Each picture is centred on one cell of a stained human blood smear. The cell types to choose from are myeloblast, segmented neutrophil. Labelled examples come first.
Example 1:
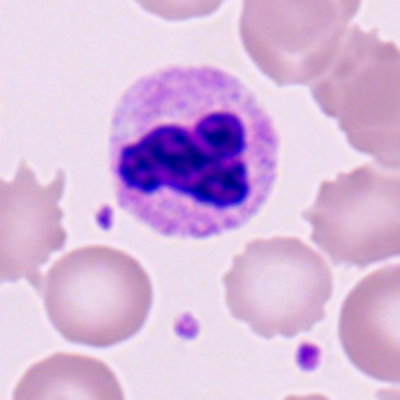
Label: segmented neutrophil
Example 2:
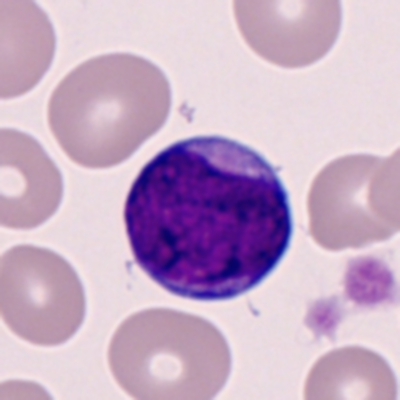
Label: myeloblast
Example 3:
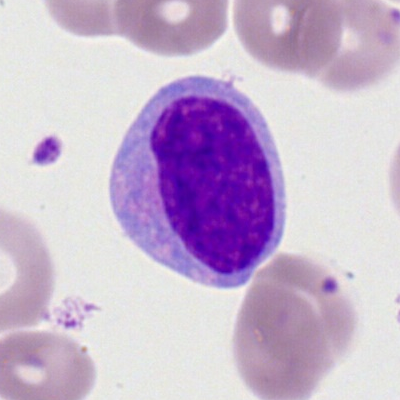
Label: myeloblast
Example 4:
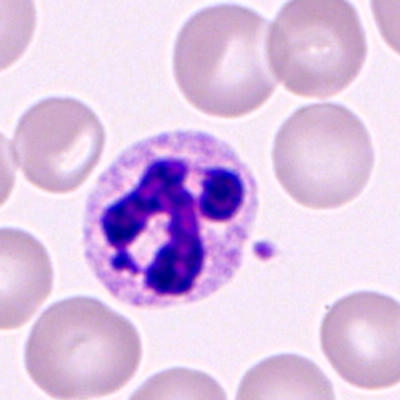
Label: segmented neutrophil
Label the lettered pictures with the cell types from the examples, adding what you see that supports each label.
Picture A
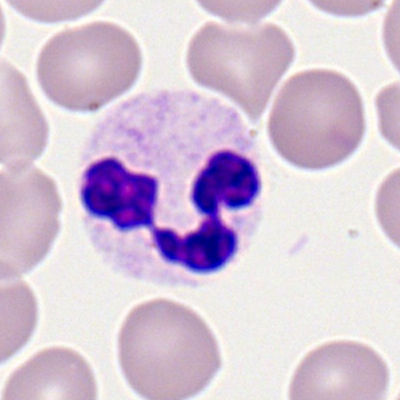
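Label: segmented neutrophil. The nuclear lobes lie in a curve that is open toward the top of the cell.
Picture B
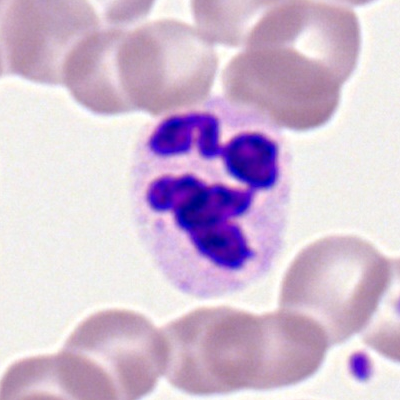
Label: segmented neutrophil. The cytoplasm is plentiful and pale pinkish-lilac.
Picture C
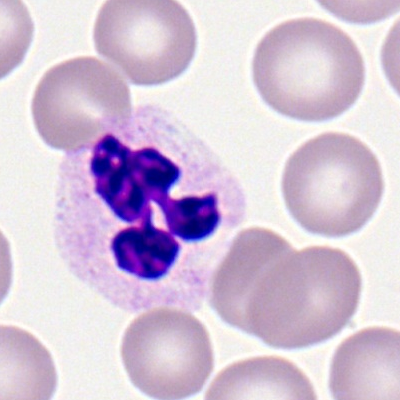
Label: segmented neutrophil. The cytoplasm is plentiful and pale pinkish-lilac.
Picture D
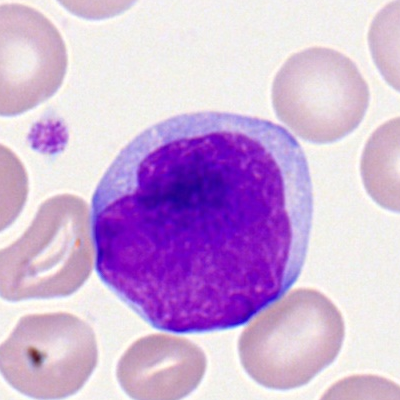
Label: myeloblast. The nucleus fills most of the cell.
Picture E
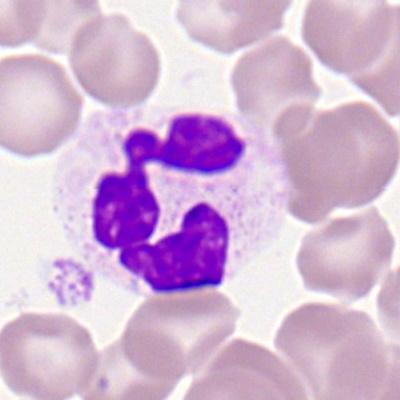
Label: segmented neutrophil. The nucleus is divided into several separate lobes.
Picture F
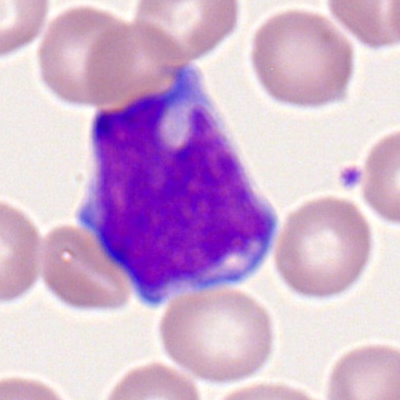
Label: myeloblast. The cytoplasm is blue, deepest along the cell's edge.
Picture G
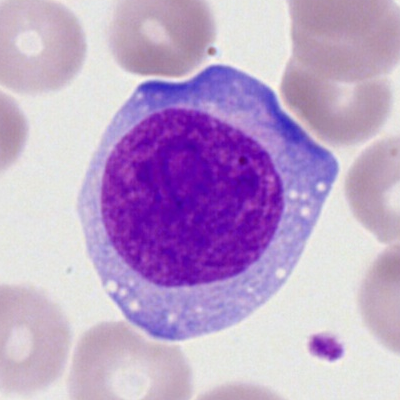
Label: myeloblast. The cytoplasm is blue, and it is deepest blue along the upper edge of the cell.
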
